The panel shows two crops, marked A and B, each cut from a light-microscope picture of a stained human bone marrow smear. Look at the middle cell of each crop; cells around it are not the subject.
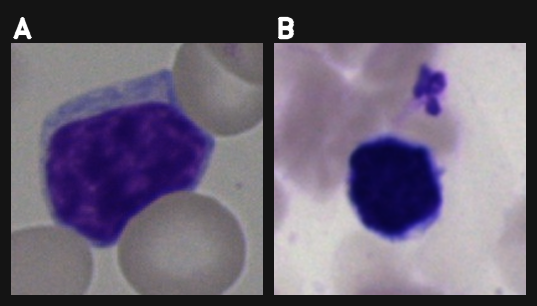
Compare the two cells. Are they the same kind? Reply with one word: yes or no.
yes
